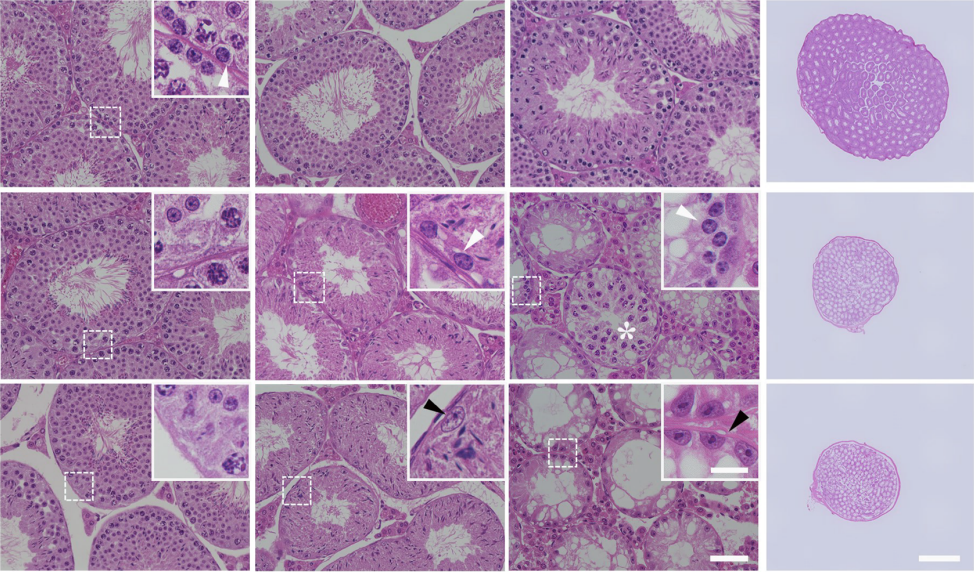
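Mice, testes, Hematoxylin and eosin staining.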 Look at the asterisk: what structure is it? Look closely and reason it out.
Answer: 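A tubule containing spermatocytes. The asterisk lies in a tubule that still holds several layers of round germ cells with large nuclei. Neighbouring tubules are largely emptied and full of vacuoles.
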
